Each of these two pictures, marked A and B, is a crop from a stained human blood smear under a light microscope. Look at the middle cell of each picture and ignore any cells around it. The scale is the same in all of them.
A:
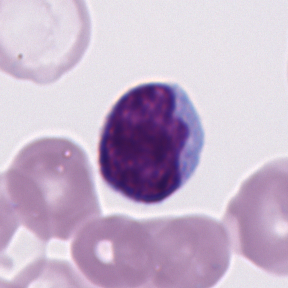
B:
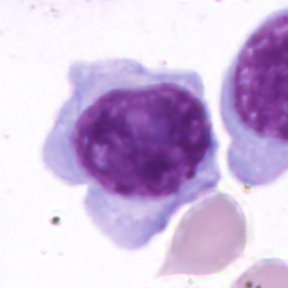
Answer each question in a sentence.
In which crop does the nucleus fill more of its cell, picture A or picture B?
Of the two, the nucleus in picture A makes up the greater part of its cell.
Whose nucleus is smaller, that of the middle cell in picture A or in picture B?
Picture A shows the smaller nucleus, since that in picture B covers about 1.5 times as much area.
